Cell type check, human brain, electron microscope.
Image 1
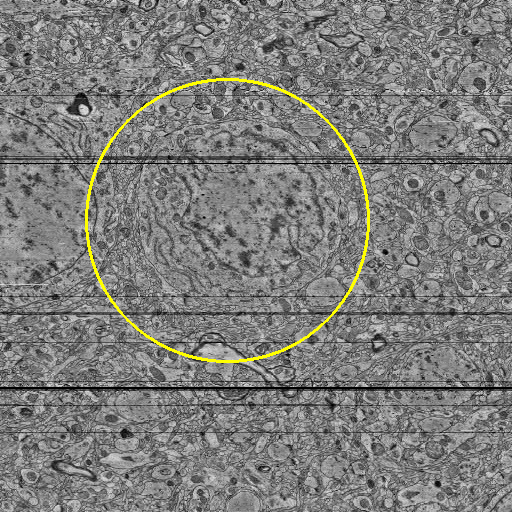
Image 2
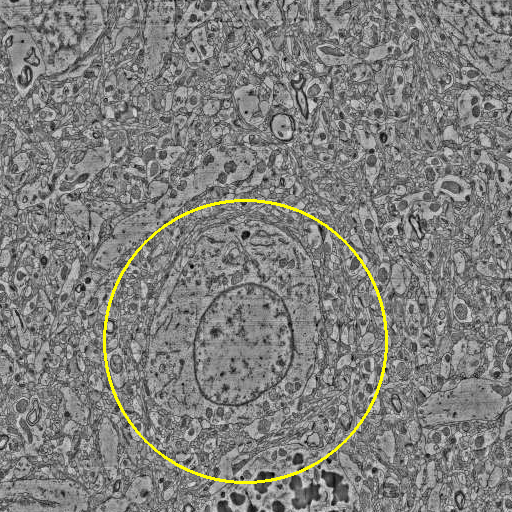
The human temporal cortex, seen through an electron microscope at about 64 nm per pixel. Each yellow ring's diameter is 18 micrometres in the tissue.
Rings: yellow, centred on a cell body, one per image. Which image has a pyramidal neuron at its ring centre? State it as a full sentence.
The ring in Image 2 is centred on it.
